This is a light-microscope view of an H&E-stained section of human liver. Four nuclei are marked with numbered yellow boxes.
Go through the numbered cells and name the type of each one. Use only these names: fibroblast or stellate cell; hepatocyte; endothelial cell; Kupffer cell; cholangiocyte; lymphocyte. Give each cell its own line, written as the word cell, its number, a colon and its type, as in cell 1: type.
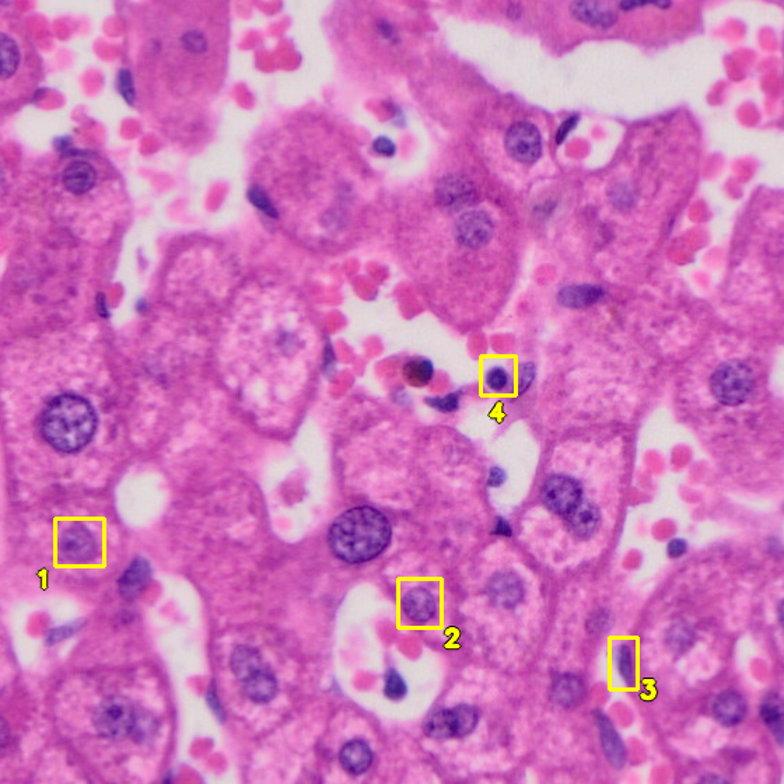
cell 1: hepatocyte
cell 2: hepatocyte
cell 3: endothelial cell
cell 4: lymphocyte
